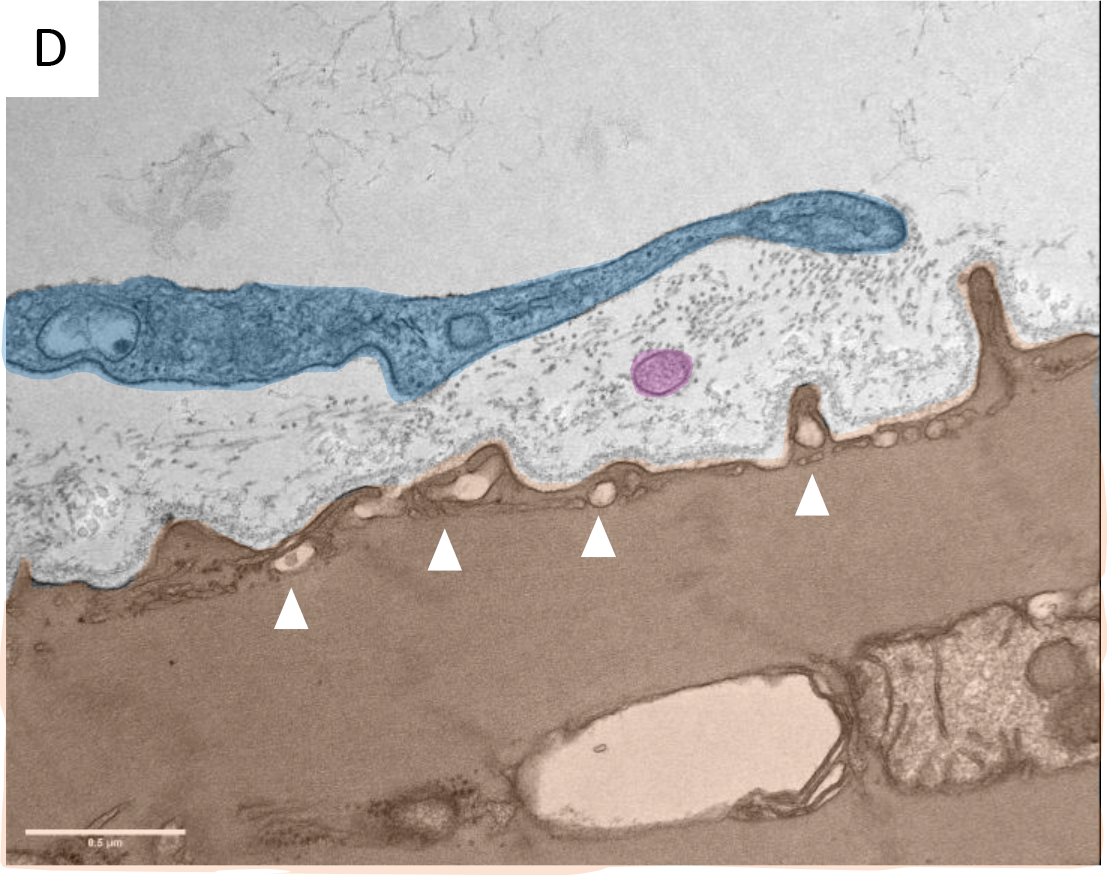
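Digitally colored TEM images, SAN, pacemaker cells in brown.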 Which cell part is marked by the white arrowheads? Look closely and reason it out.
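Small pale vesicles sit just beneath the surface membrane of the brown cell. They are clustered along the side facing the thin blue process. On this evidence: caveolae.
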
